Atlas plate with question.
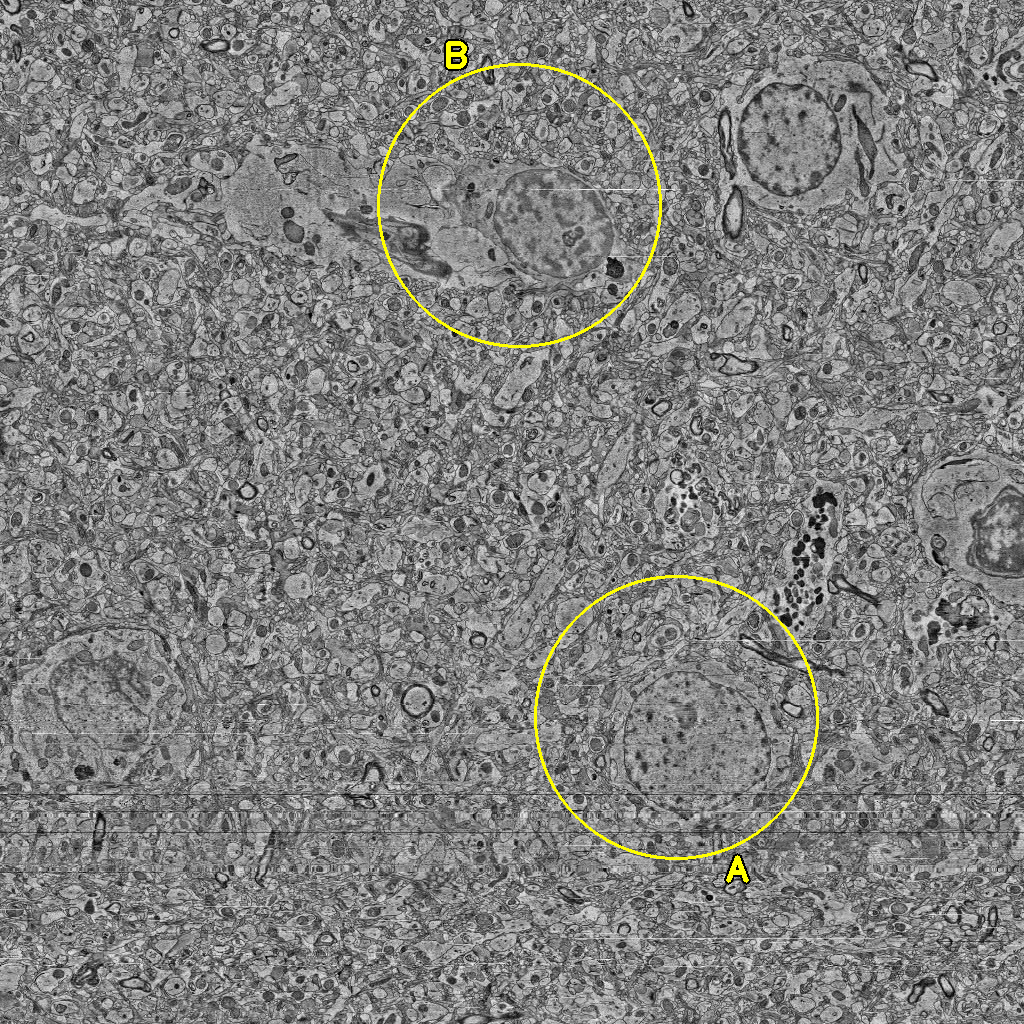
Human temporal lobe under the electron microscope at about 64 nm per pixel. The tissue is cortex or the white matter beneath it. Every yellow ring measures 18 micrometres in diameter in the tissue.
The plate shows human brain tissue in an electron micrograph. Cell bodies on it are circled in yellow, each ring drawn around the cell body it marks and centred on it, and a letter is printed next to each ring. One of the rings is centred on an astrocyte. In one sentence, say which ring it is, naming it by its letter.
It is ring A.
